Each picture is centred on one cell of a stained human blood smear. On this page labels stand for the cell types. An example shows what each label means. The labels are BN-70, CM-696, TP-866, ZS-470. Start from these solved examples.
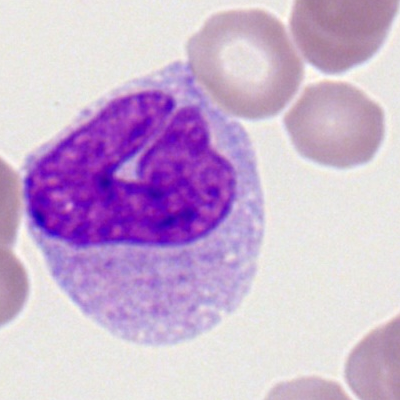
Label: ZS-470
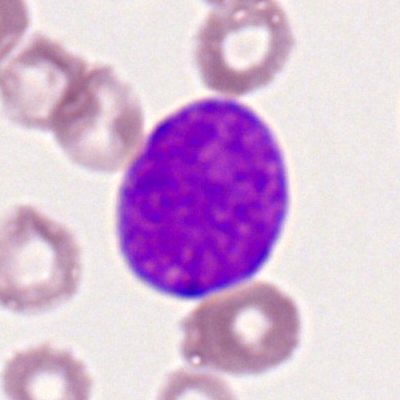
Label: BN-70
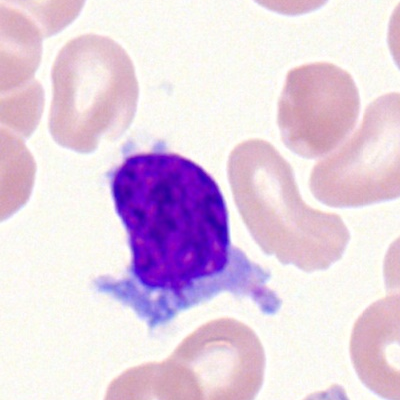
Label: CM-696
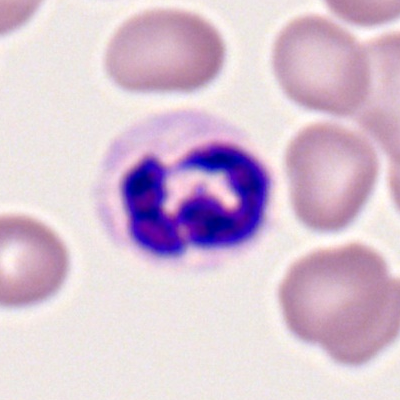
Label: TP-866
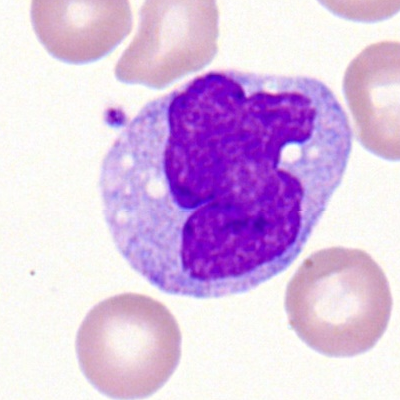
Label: ZS-470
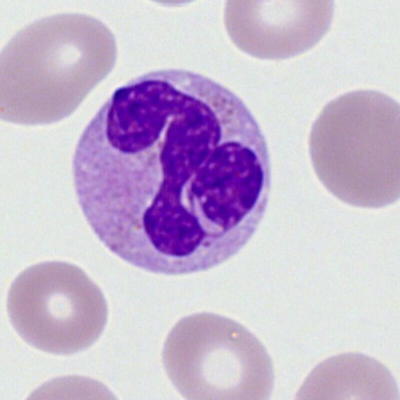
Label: TP-866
